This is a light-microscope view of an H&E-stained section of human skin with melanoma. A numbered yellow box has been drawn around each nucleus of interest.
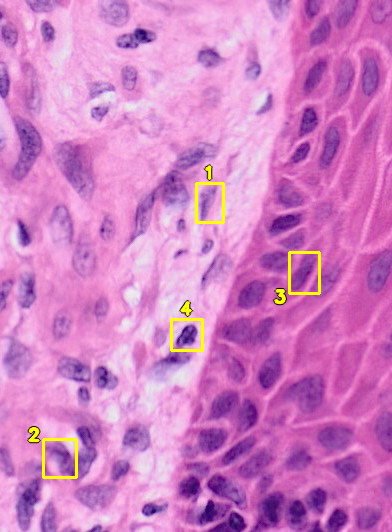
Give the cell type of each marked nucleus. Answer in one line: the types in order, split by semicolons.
fibroblast or myofibroblast; endothelial cell; keratinocyte; lymphocyte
